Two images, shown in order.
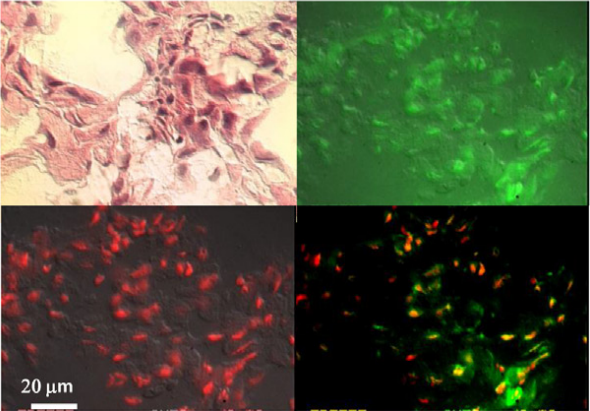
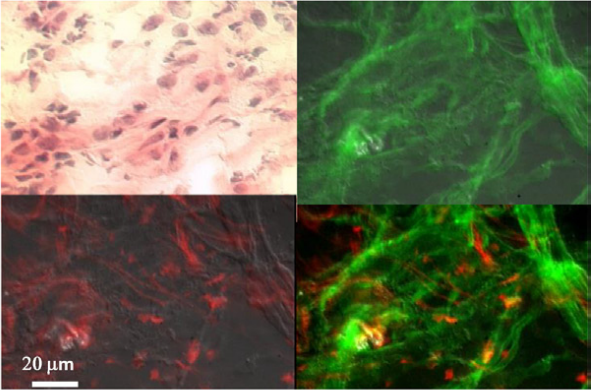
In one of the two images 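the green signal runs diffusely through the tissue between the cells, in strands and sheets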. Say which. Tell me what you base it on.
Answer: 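First image: green appears mainly as small spots overlapping the red nuclei, turning yellow, with dark space between. Second image: bright green fibrous strands fill much of the field around and between the red nuclei.
Hence: the second image.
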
